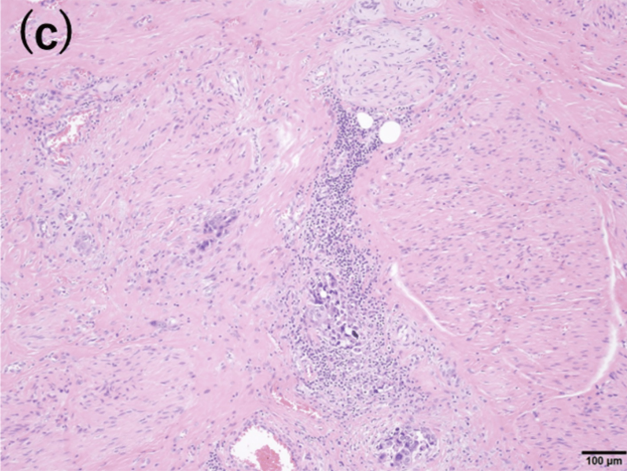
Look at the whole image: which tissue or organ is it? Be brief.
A: Muscle layer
